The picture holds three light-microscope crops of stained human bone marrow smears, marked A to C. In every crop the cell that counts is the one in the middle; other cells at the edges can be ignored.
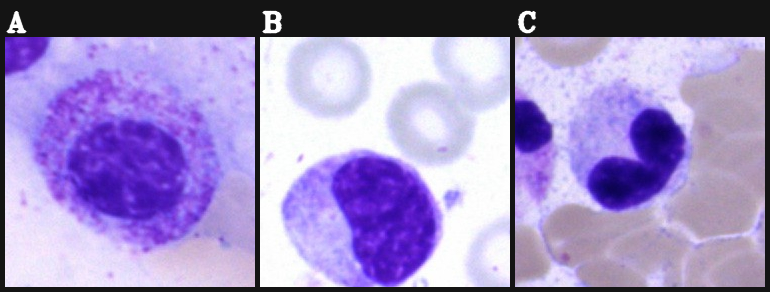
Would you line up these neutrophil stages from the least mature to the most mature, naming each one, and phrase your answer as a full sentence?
The maturity sequence, least mature to most mature, is crop A (a myelocyte), crop B (a metamyelocyte) and crop C (a band neutrophil).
